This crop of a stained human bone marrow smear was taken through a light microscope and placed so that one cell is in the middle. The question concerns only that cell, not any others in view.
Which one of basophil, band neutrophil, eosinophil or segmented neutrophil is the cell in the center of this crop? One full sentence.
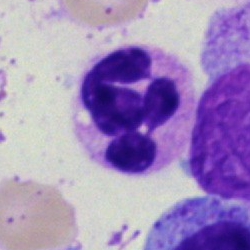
By classification, the middle cell of this crop is a segmented neutrophil.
